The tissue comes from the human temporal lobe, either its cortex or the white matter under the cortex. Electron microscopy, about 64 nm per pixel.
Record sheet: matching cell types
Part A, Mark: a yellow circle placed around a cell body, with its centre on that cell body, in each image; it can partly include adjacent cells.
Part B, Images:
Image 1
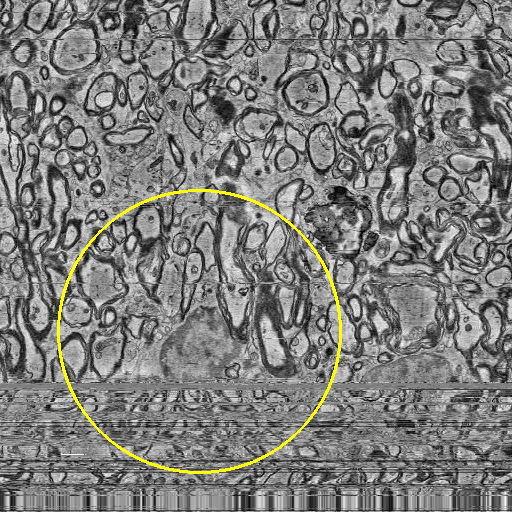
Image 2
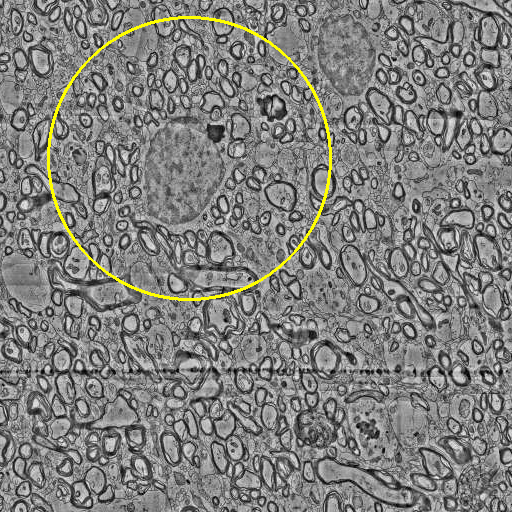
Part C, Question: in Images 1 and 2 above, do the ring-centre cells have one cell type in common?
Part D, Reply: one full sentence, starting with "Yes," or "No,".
Yes, the ring-centre cells of Image 1 and Image 2 are both of a single cell type.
